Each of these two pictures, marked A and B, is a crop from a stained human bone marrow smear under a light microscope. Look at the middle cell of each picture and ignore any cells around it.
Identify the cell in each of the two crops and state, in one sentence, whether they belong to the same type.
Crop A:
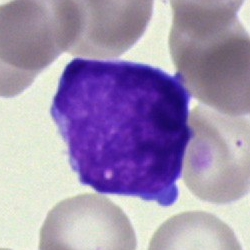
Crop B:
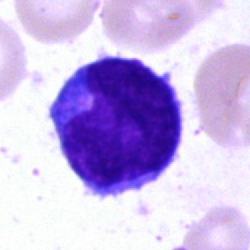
Yes, shown in both crops are blasts.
